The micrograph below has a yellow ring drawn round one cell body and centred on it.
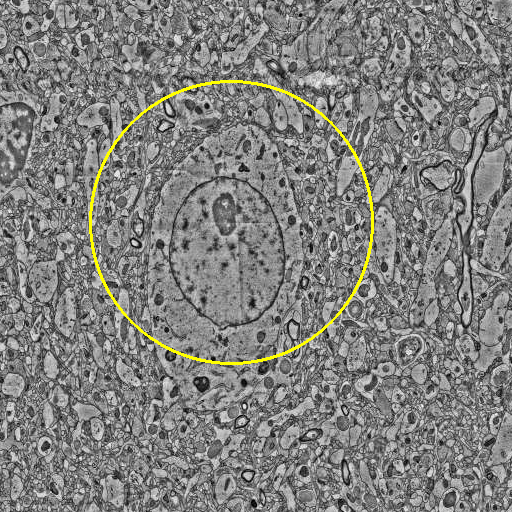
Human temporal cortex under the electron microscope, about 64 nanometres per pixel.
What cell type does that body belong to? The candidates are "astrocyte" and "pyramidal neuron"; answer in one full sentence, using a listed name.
This is a pyramidal neuron, the cell whose body lies at the centre of the ring.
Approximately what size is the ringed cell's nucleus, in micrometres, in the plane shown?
In this plane the nucleus spans approximately 9 by 7 micrometers.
